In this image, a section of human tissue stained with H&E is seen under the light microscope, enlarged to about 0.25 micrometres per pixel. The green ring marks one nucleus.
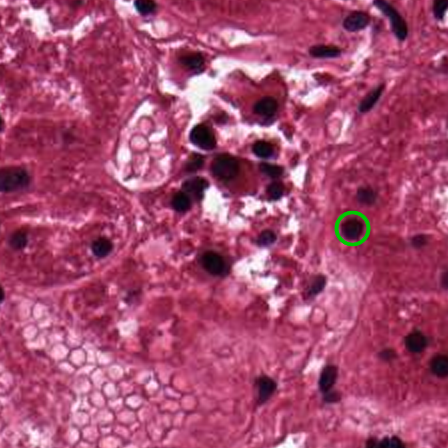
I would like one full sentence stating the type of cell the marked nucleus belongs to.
The marked nucleus is located in a proximal tubule cell.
